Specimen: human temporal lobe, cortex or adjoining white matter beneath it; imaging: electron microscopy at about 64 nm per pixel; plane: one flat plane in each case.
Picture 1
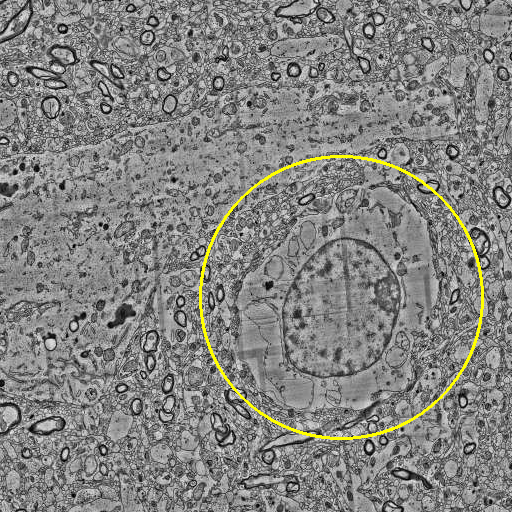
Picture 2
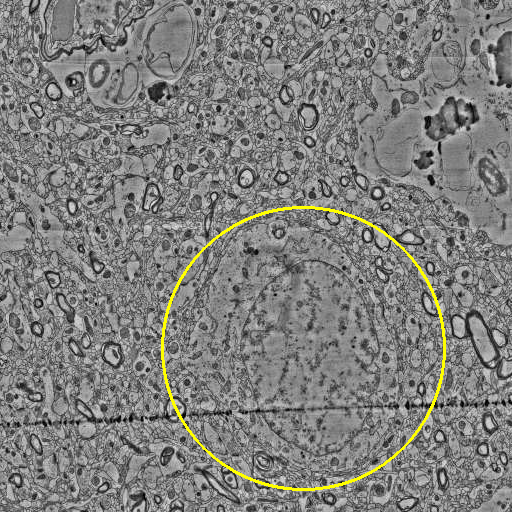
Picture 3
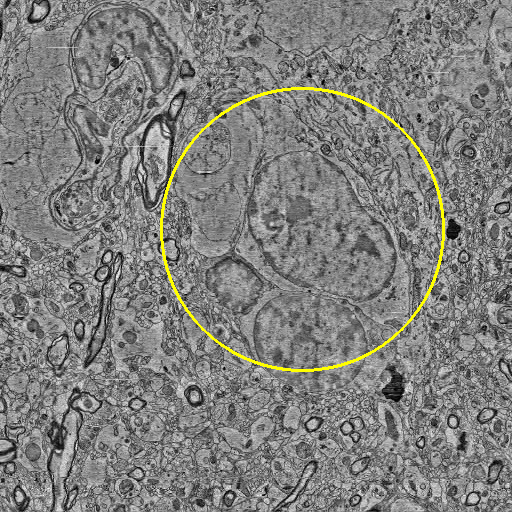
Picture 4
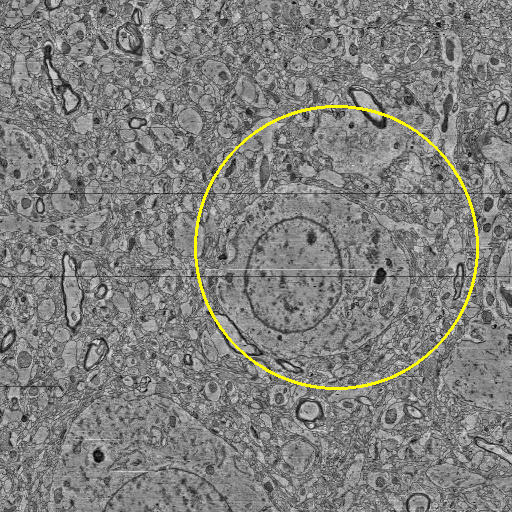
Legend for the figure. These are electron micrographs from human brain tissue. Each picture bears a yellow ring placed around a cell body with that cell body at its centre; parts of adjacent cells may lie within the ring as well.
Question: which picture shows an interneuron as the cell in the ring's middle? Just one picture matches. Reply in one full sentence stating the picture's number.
It is picture 2 whose yellow ring is centred on the requested cell.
